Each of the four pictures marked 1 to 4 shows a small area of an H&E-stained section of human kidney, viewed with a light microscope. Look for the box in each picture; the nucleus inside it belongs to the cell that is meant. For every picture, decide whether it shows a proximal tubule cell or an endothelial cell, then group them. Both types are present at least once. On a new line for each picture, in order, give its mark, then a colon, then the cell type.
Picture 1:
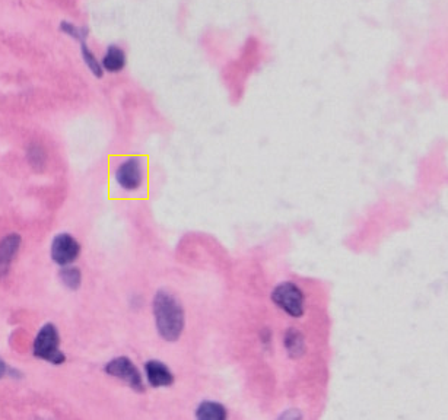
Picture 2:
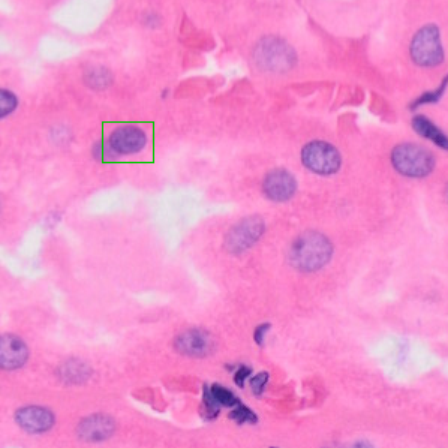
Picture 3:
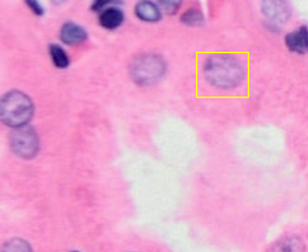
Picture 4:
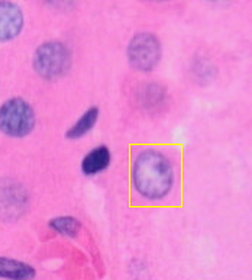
1: endothelial cell
2: proximal tubule cell
3: proximal tubule cell
4: proximal tubule cell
